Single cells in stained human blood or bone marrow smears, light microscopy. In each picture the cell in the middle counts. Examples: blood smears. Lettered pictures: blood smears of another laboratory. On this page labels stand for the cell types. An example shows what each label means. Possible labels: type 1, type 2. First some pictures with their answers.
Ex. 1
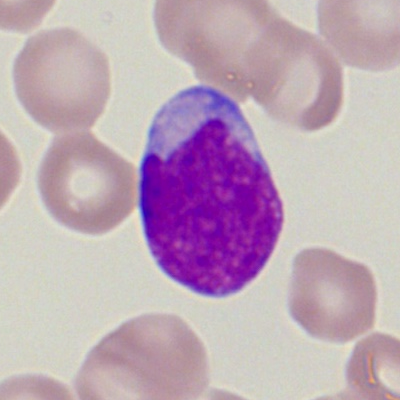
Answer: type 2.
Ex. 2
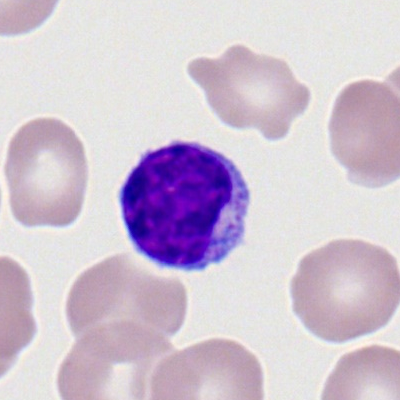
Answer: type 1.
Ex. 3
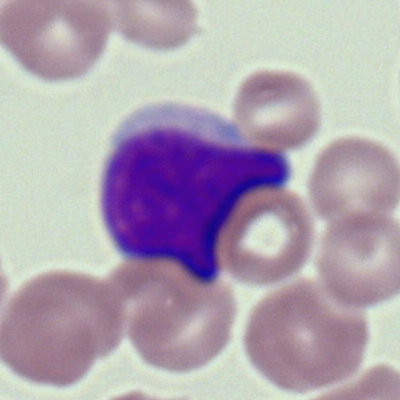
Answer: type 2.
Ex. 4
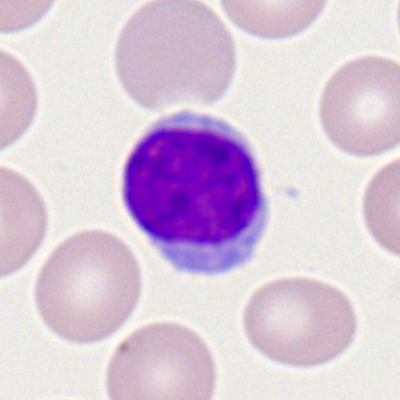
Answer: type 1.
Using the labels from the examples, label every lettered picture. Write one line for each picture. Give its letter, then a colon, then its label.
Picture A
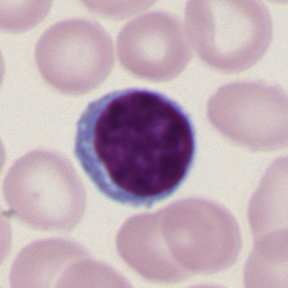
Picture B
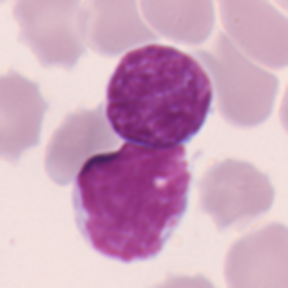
A: type 1.
B: type 2.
